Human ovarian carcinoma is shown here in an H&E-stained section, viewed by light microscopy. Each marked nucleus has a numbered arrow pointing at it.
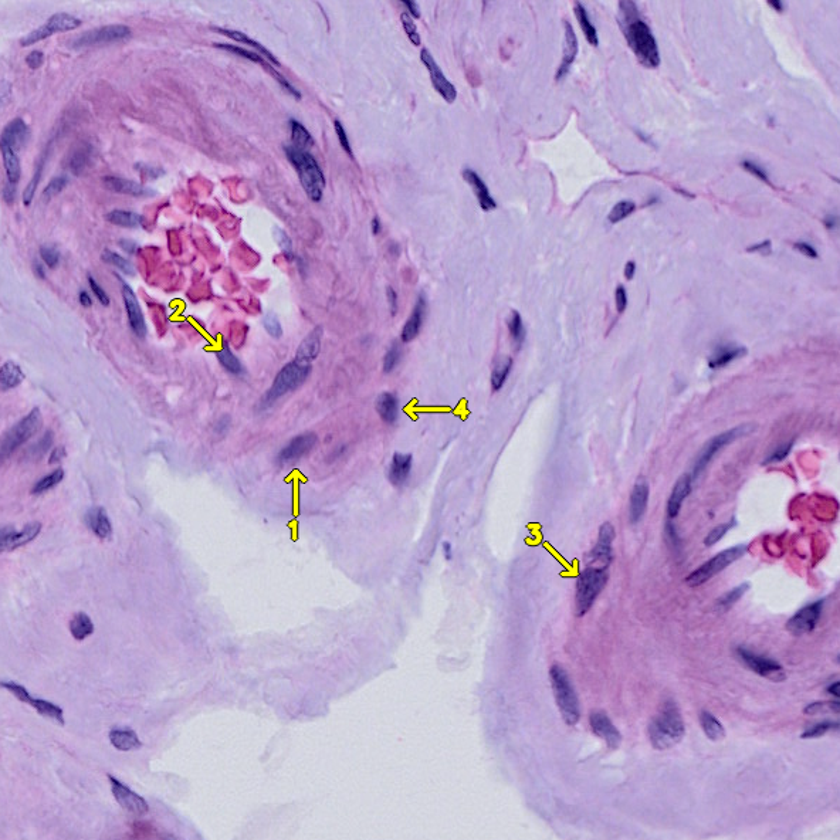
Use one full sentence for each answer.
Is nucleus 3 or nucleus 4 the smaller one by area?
With nucleus 3 about 2 times its size, nucleus 4 is the smaller of the two.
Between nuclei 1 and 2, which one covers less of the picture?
Nucleus 2 is the smaller one; nucleus 1 covers about 1.5 times its area.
